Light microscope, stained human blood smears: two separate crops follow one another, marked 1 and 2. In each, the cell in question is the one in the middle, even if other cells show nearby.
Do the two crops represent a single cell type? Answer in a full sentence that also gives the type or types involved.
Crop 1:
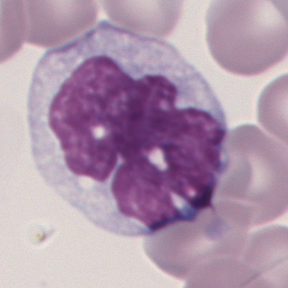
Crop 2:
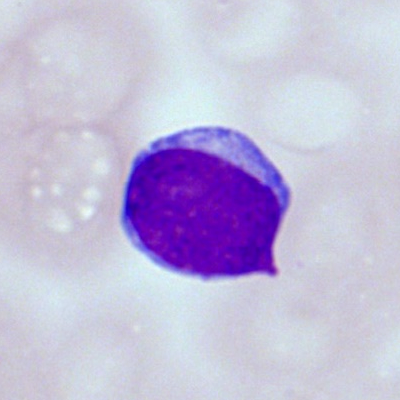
No, a monocyte lies at the centre of crop 1, and a blast lies at the centre of crop 2.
